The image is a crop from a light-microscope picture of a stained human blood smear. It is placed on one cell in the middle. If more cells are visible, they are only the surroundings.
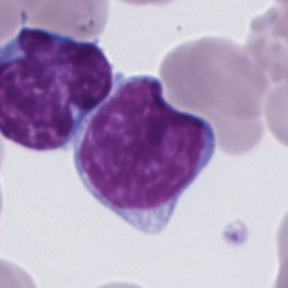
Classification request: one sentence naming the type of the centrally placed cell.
What sits at the centre of this crop is a large granular lymphocyte.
